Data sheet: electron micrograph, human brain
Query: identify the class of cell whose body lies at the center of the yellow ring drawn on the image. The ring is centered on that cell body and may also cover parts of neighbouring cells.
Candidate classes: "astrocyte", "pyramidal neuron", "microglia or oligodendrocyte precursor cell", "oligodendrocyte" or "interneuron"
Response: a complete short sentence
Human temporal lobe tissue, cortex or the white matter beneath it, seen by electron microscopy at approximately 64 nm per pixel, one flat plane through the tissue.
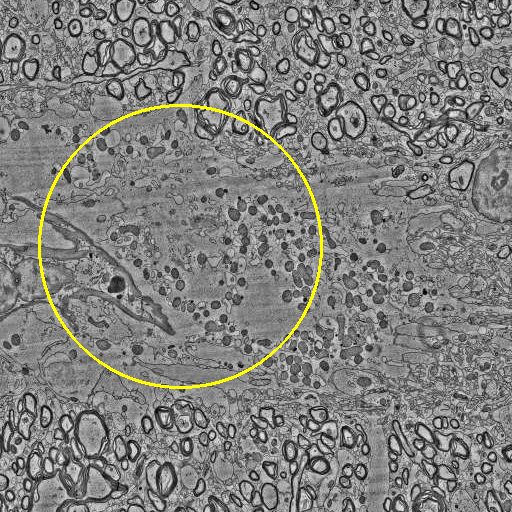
At the center of the ring lies an astrocyte.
